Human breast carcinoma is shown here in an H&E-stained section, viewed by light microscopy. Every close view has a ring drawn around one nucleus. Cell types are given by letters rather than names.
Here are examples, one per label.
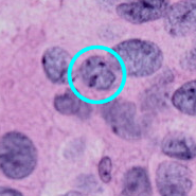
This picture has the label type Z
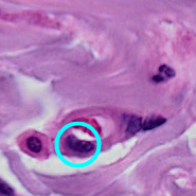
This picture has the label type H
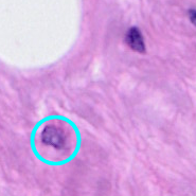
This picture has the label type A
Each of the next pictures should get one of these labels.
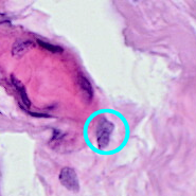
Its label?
type A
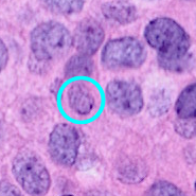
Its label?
type Z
